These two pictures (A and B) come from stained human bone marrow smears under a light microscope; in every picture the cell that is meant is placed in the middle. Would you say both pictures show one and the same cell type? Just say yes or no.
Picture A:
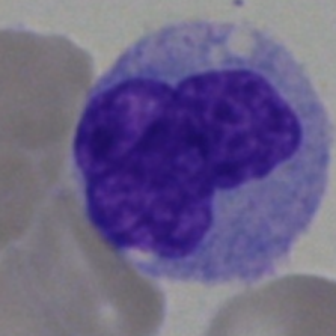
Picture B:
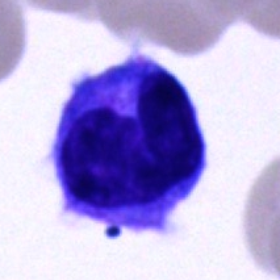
yes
